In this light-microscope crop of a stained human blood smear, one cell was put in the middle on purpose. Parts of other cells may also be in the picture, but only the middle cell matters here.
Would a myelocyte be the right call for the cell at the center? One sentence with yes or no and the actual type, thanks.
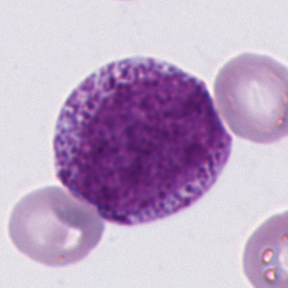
No, a promyelocyte rather than a myelocyte is the cell at the centre of the crop.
